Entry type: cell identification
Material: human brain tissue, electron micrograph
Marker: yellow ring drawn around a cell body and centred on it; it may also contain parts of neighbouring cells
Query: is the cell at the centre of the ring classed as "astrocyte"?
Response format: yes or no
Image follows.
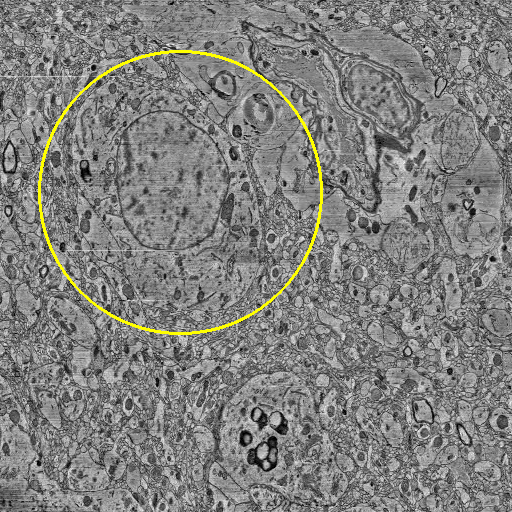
no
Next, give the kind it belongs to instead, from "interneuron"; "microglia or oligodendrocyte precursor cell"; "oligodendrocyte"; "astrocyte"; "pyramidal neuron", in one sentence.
Instead, what sits at the centre of the ring is a pyramidal neuron.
